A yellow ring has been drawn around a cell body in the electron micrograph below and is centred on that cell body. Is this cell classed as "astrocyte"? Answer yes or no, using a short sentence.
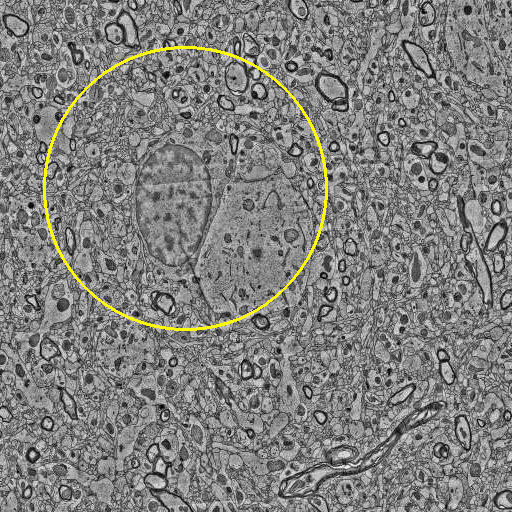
No, it is classed as another kind.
